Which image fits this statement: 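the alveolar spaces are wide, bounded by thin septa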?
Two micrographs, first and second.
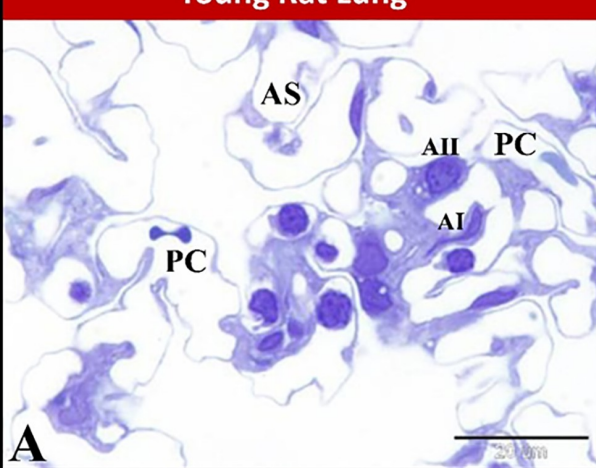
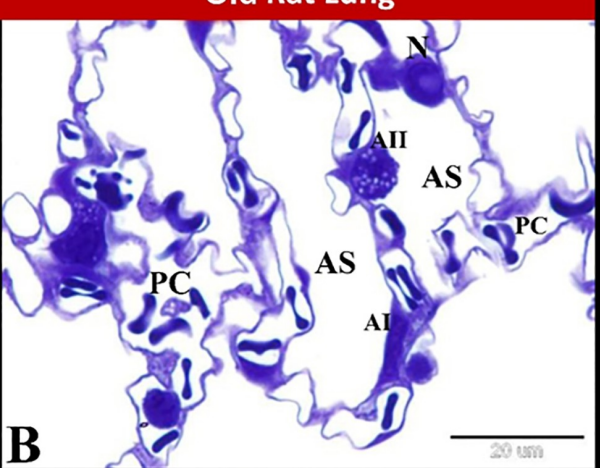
The second image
